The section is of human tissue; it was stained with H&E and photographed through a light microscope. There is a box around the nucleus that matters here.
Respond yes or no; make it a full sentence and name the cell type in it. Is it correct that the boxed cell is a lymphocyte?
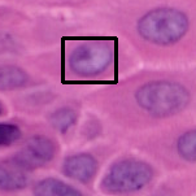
No, the correct identification of the boxed cell is a keratinocyte, not a lymphocyte.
